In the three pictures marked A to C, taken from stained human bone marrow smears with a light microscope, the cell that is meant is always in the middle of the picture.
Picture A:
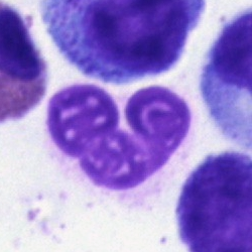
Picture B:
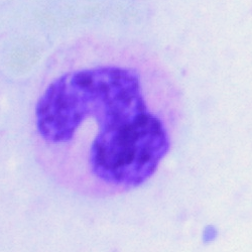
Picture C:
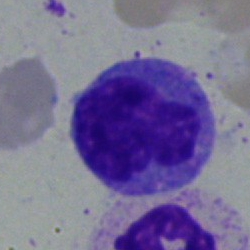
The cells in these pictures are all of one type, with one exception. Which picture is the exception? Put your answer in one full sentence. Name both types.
The others show band neutrophils, but picture C shows a monocyte.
